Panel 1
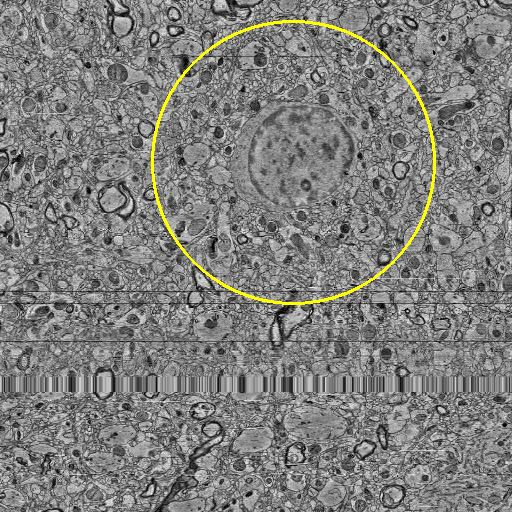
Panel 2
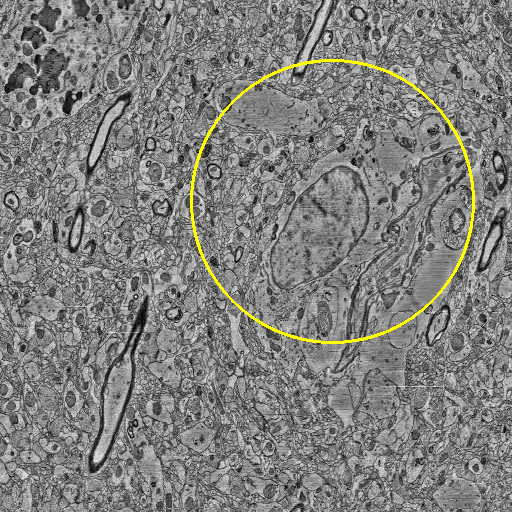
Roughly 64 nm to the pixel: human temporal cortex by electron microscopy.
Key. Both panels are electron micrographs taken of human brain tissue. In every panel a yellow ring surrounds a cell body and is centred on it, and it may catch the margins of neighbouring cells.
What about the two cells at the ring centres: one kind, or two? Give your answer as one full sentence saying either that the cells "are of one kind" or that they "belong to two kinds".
Across Panels 1 and 2, the two cells at the ring centres are of one kind.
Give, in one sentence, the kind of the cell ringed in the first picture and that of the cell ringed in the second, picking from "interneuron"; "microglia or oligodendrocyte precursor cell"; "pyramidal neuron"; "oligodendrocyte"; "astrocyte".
Both rings mark a microglial cell or oligodendrocyte precursor cell, one in each picture.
